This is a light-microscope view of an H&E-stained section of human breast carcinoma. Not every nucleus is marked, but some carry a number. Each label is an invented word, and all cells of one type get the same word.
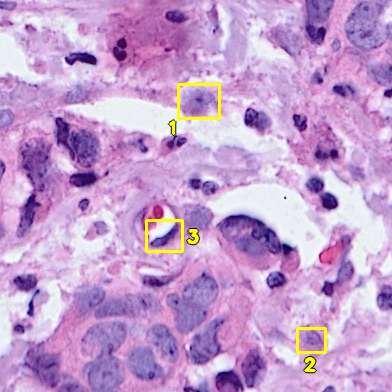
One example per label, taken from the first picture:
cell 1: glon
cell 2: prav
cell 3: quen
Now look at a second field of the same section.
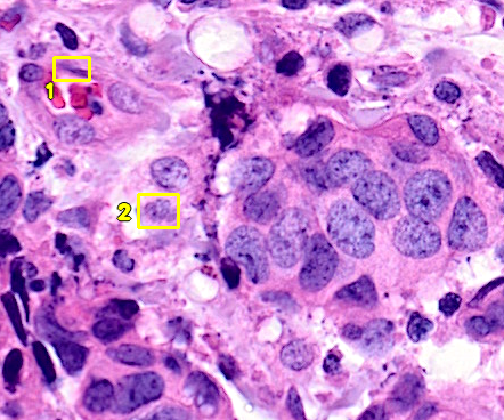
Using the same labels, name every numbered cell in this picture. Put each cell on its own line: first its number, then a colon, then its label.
1: quen
2: prav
